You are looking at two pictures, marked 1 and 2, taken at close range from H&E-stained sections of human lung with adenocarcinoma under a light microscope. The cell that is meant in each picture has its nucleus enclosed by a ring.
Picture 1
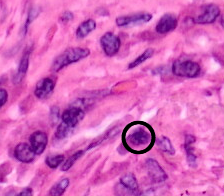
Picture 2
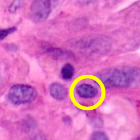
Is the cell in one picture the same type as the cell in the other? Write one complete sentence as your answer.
No, picture 1 shows a plasma cell and picture 2 shows a lymphocyte.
